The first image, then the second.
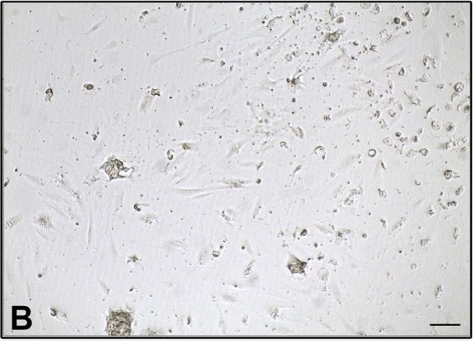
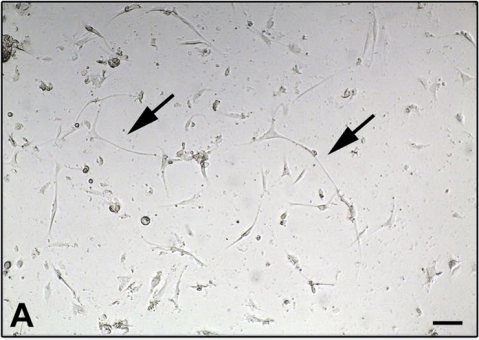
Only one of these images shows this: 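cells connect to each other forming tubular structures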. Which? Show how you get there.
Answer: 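First image: cells are flat and spread, lying separately without forming connected tubes. Second image: thin elongated cells link by long processes into lines and loops.
Hence: the second image.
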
